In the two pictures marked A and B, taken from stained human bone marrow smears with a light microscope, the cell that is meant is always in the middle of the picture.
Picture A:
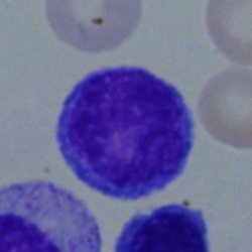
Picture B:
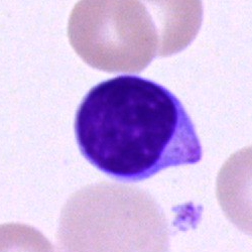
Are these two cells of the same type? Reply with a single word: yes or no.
no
